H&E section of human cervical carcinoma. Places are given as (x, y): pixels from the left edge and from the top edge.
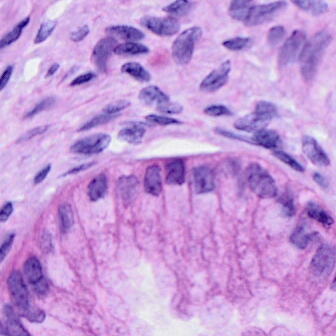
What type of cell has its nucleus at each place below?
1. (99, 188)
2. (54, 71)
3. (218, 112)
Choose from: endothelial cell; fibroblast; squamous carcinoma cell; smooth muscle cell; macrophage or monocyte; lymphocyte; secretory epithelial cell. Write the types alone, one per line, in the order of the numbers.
secretory epithelial cell
fibroblast
fibroblast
